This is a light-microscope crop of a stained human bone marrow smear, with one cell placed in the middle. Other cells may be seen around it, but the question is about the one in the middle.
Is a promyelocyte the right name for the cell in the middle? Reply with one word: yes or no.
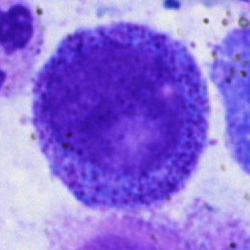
yes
